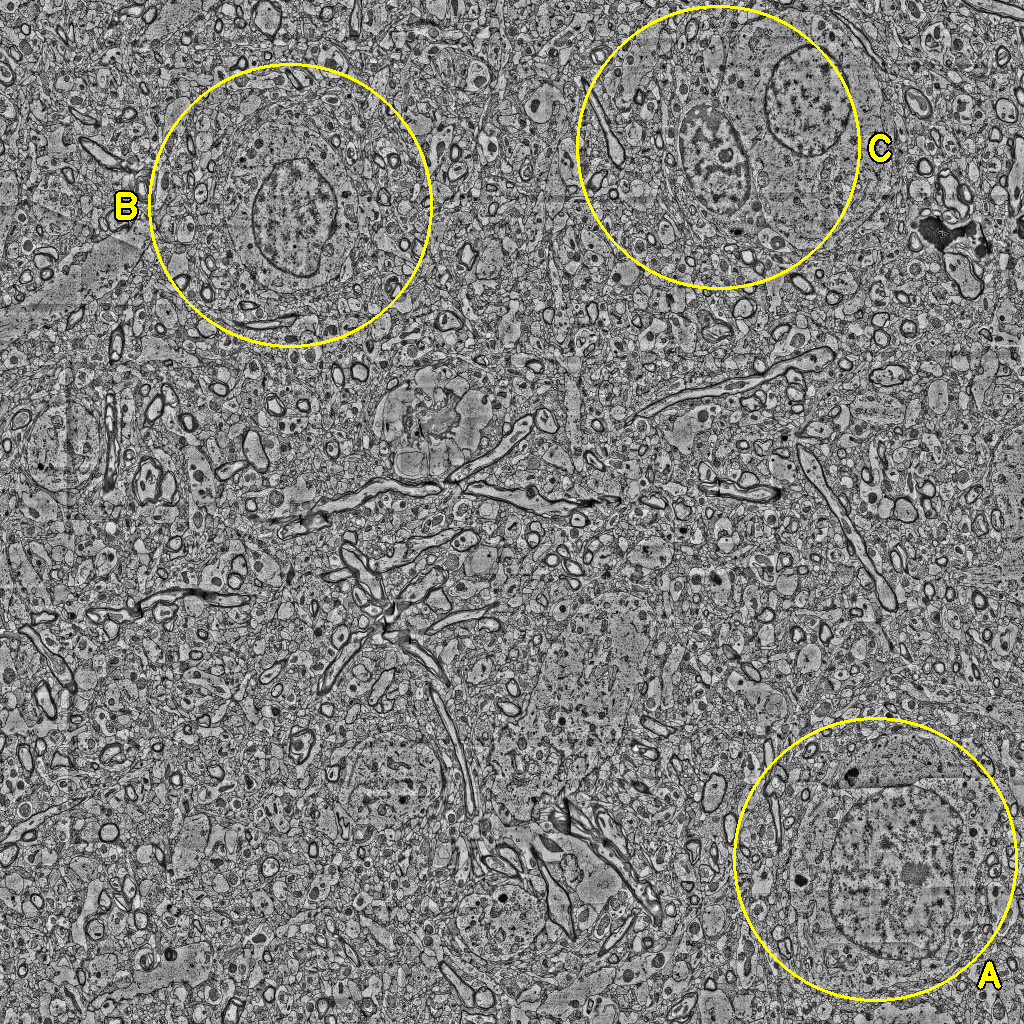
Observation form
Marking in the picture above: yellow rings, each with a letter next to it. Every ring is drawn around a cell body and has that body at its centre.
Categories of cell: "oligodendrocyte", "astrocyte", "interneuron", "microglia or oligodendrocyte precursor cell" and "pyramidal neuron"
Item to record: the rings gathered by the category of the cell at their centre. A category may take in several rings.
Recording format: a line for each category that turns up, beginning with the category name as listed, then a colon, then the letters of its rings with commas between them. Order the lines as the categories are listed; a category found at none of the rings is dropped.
oligodendrocyte: C
interneuron: A, B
